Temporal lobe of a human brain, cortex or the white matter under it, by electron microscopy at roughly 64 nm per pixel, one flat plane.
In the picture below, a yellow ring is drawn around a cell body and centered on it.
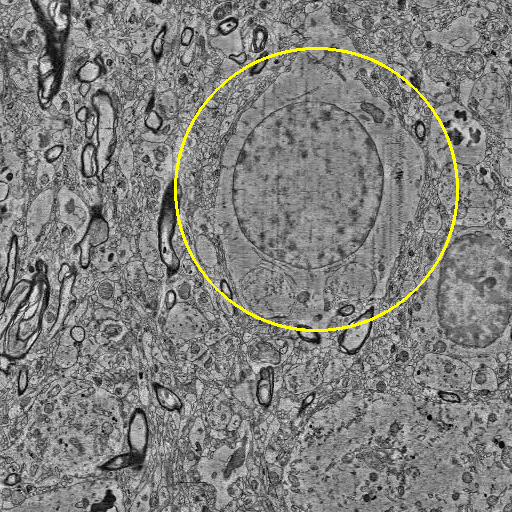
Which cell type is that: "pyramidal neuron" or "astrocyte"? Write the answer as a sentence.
The cell centered in the ring is an astrocyte.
